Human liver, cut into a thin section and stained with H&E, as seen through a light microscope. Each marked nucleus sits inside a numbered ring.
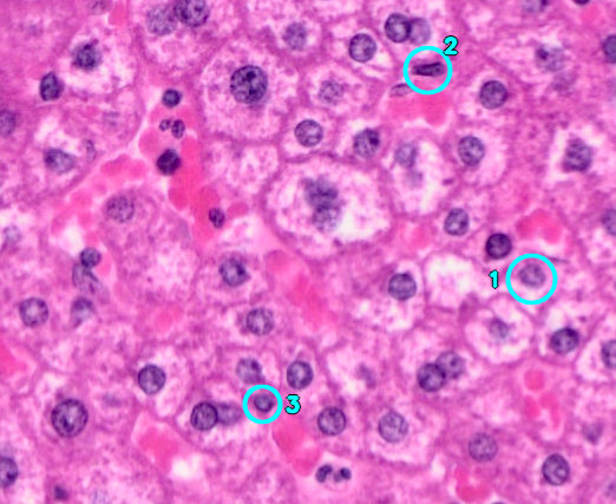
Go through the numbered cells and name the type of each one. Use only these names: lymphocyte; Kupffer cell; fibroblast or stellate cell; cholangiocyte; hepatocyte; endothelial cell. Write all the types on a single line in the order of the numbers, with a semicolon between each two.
hepatocyte; fibroblast or stellate cell; fibroblast or stellate cell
